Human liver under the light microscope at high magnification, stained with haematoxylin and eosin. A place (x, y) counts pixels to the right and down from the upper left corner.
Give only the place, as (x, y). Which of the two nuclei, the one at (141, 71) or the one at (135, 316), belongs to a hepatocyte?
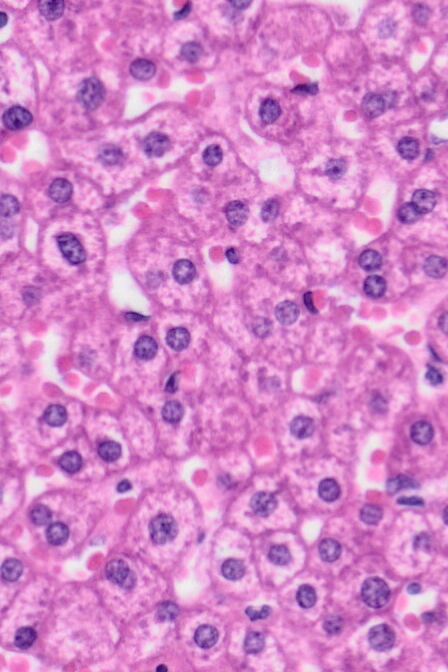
(141, 71)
